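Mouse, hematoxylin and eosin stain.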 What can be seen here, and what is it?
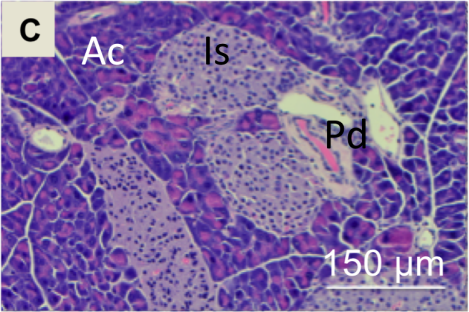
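Pancreas with pale-staining islets of Langerhans set among darker purple acinar tissue. The acinar cells are packed in small clusters with basal purple cytoplasm and pink granules towards their apices, while the islet cells are smaller, paler and closely packed with round nuclei; a small duct with pink contents lies next to the islets.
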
